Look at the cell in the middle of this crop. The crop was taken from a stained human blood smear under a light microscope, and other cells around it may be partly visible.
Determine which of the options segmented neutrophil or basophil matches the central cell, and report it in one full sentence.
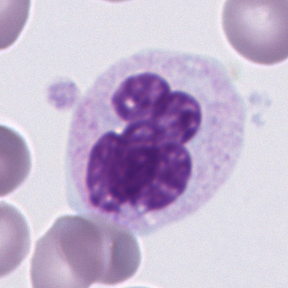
The centered cell in this crop is a segmented neutrophil.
